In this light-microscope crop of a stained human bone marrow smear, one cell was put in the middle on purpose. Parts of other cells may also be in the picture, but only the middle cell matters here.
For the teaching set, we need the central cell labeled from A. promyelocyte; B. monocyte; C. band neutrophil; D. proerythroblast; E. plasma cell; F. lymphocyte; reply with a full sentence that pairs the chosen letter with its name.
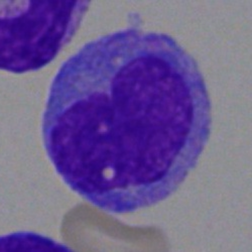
Option B gives the correct identity of the central cell, namely a monocyte.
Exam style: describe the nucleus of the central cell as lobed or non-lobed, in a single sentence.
A single compact nucleus, round, oval or kidney-shaped, is what this cell shows.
